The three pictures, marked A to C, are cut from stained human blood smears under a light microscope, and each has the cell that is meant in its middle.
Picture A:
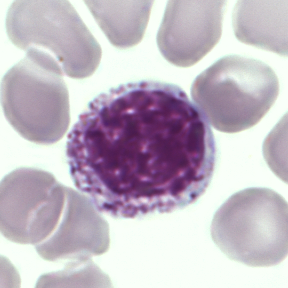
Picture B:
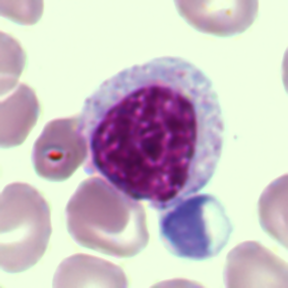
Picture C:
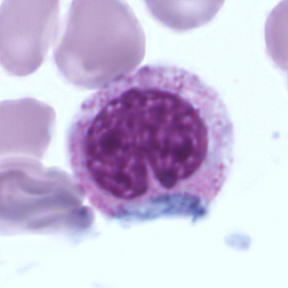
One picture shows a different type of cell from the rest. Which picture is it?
C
